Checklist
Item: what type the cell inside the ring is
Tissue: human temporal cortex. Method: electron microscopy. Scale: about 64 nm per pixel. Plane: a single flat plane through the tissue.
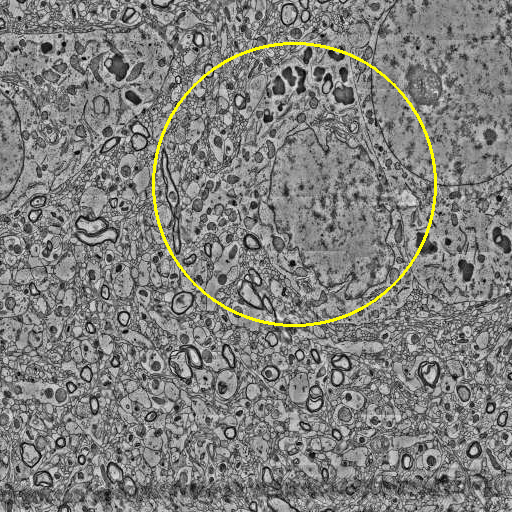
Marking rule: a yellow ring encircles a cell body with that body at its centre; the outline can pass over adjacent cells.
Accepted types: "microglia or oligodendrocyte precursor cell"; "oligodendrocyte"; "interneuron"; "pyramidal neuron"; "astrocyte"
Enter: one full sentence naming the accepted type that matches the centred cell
The entry is that an interneuron lies at the centre of the yellow ring.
